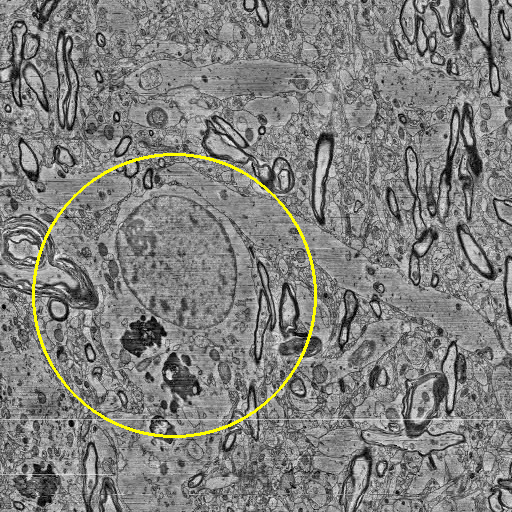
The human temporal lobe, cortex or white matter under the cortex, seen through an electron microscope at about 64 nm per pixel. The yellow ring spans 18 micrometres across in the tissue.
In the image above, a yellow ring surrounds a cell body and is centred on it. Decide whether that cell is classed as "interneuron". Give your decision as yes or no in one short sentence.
No, it belongs to another kind of cell.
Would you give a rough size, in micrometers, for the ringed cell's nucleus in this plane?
Approximately 9 micrometres long and 7 micrometres wide, in this plane.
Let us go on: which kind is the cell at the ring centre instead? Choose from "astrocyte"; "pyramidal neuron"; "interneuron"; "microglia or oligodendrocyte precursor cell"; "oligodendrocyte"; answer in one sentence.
Here, the ring is centred on an astrocyte instead.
